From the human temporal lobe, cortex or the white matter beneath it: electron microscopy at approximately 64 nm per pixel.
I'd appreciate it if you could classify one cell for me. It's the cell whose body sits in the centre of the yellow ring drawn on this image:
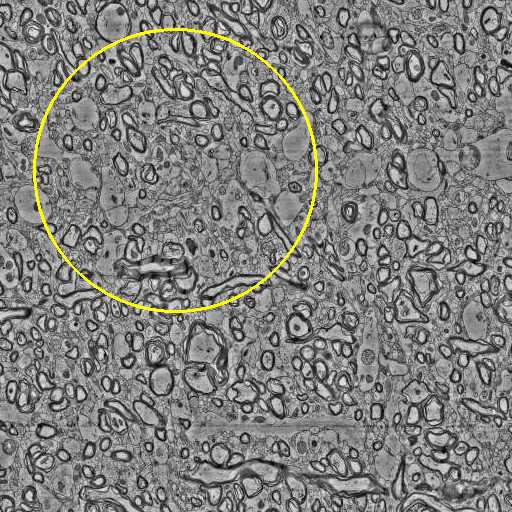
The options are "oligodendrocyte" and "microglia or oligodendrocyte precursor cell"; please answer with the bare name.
microglia or oligodendrocyte precursor cell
